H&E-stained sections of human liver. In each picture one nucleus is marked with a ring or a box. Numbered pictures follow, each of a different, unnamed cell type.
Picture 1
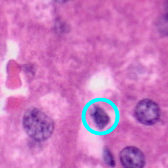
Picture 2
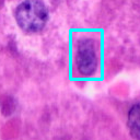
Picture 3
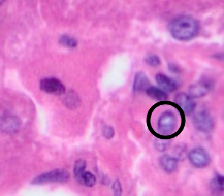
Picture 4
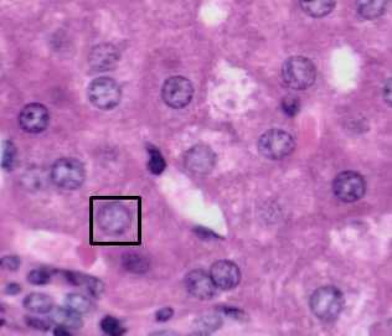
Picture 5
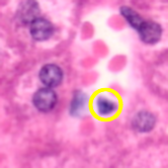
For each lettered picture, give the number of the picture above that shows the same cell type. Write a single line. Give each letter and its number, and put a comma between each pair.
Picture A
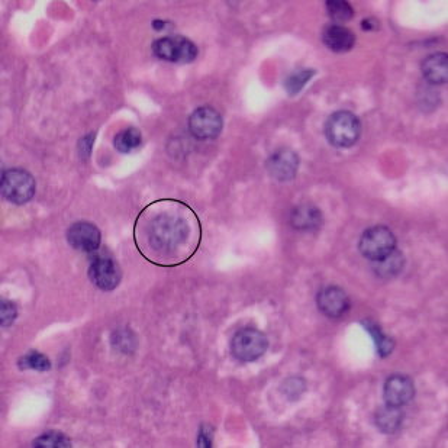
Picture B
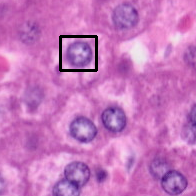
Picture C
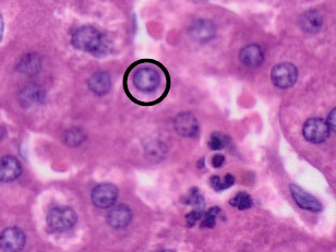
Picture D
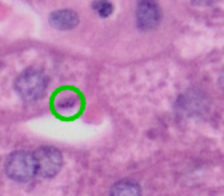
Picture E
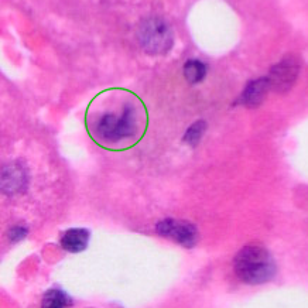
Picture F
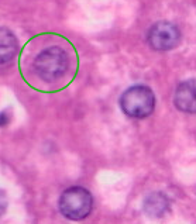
A 4, B 4, C 4, D 2, E 2, F 4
